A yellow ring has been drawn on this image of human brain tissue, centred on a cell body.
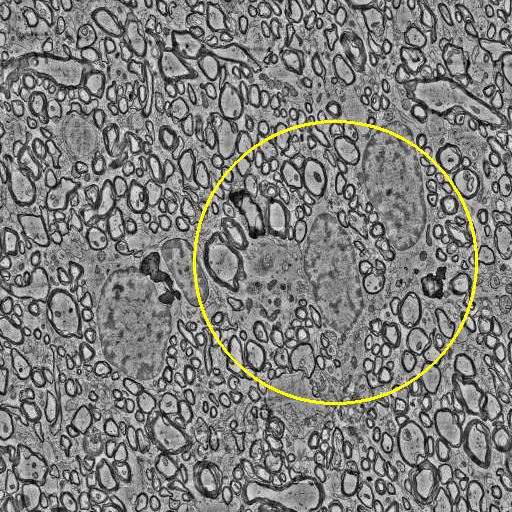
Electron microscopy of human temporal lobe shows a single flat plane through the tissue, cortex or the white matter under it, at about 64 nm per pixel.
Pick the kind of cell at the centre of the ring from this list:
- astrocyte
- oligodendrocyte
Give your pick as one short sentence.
The centre of the ring holds an oligodendrocyte.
